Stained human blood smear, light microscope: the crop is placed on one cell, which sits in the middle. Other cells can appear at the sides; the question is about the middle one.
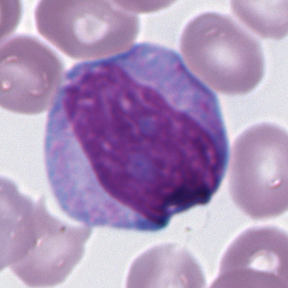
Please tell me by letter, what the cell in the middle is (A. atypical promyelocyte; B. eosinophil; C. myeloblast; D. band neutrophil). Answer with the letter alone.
A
